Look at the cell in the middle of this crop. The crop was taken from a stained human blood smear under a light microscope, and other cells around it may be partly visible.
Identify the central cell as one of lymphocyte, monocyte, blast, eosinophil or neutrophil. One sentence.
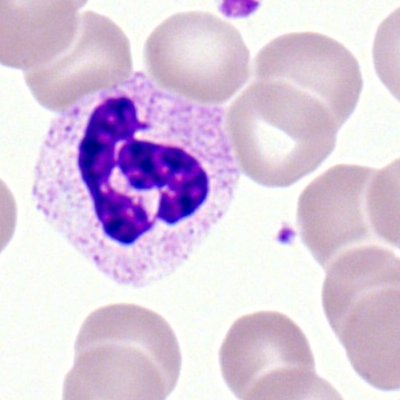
The cell in the exact centre of the crop is a neutrophil.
